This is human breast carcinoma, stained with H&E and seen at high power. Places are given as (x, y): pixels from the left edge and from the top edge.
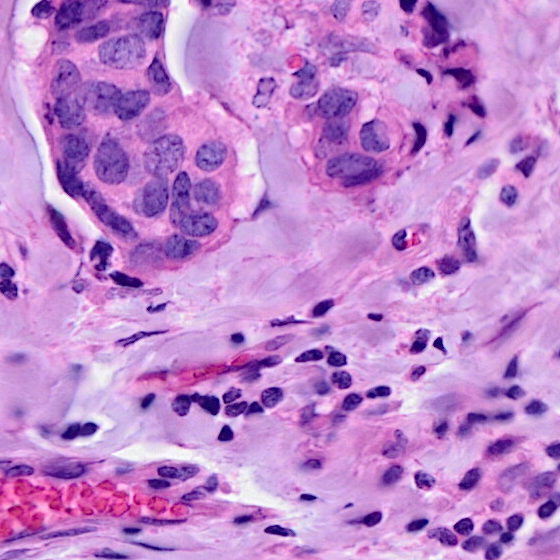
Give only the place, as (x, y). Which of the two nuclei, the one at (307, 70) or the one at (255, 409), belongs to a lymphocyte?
(255, 409)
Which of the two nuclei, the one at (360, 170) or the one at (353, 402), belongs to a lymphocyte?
(353, 402)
